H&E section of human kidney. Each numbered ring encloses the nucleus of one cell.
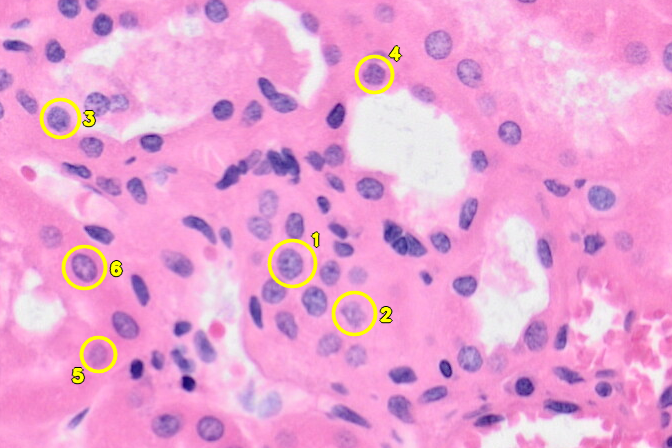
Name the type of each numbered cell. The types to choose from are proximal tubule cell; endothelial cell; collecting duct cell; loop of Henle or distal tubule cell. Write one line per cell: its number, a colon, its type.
1: loop of Henle or distal tubule cell
2: loop of Henle or distal tubule cell
3: loop of Henle or distal tubule cell
4: loop of Henle or distal tubule cell
5: proximal tubule cell
6: proximal tubule cell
